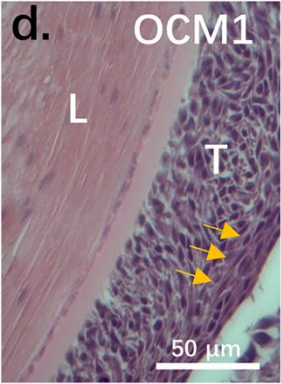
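A densely cellular tumor made of elongated, spindle-shaped cells lies beside the lens, which forms a broad pale pink band of smooth, finely streaked material on the left. A thin glassy pink line separates the lens from the tumor.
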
